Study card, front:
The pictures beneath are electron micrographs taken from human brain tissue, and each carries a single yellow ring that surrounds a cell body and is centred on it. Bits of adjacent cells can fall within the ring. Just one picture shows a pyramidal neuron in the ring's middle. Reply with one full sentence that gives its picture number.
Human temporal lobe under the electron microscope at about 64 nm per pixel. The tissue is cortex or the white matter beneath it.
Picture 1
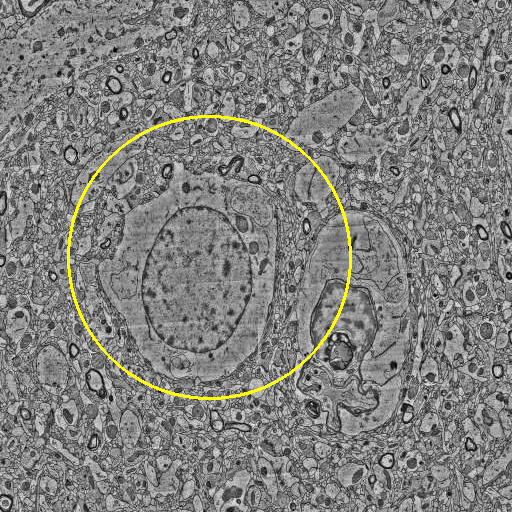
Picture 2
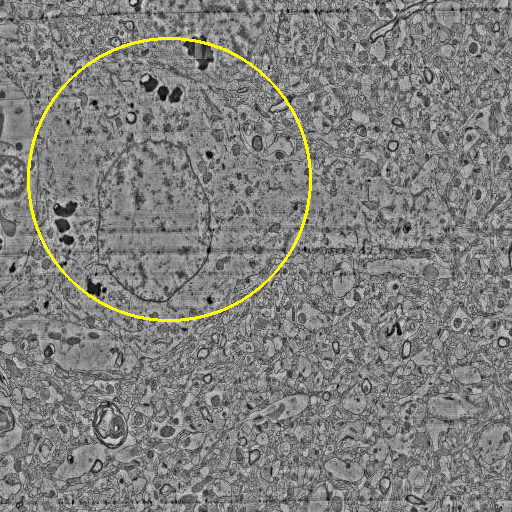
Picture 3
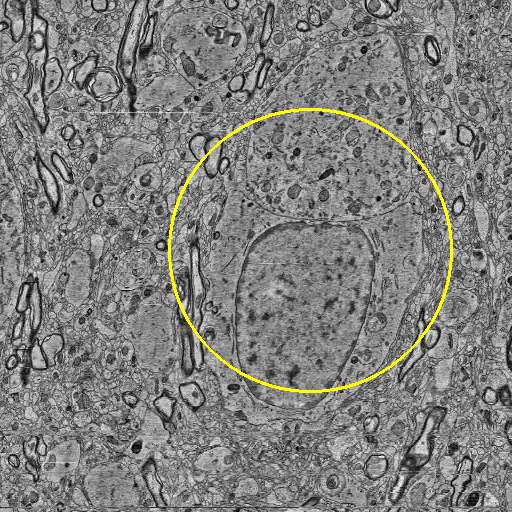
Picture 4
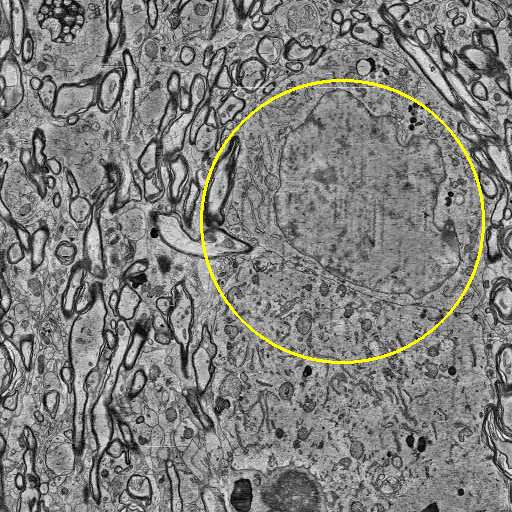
Picture 2 is the one whose ring has the requested cell at its centre.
